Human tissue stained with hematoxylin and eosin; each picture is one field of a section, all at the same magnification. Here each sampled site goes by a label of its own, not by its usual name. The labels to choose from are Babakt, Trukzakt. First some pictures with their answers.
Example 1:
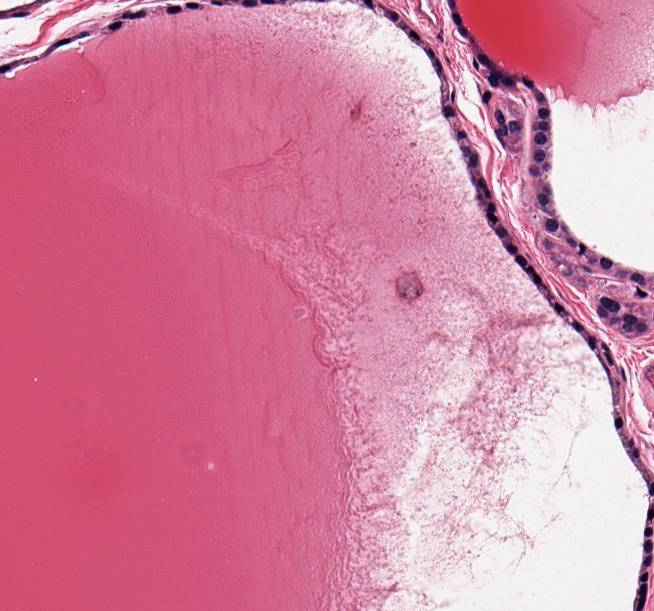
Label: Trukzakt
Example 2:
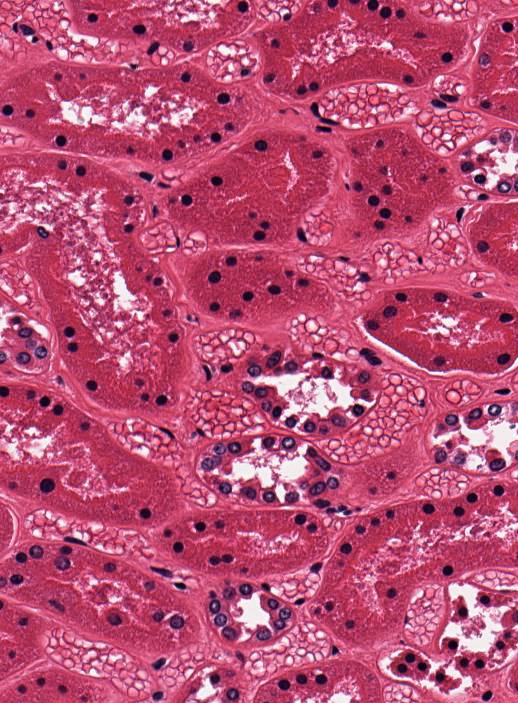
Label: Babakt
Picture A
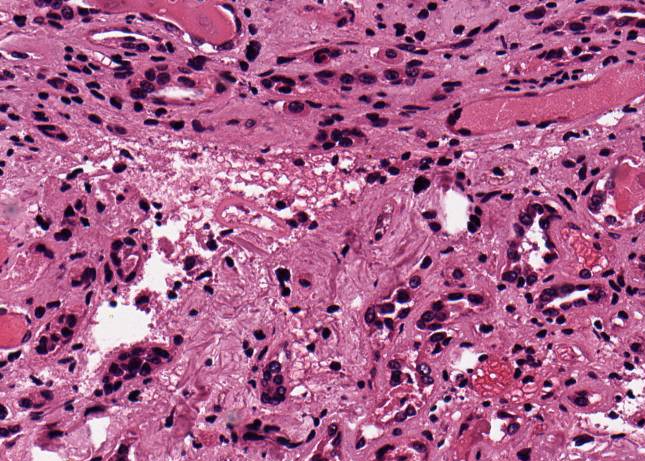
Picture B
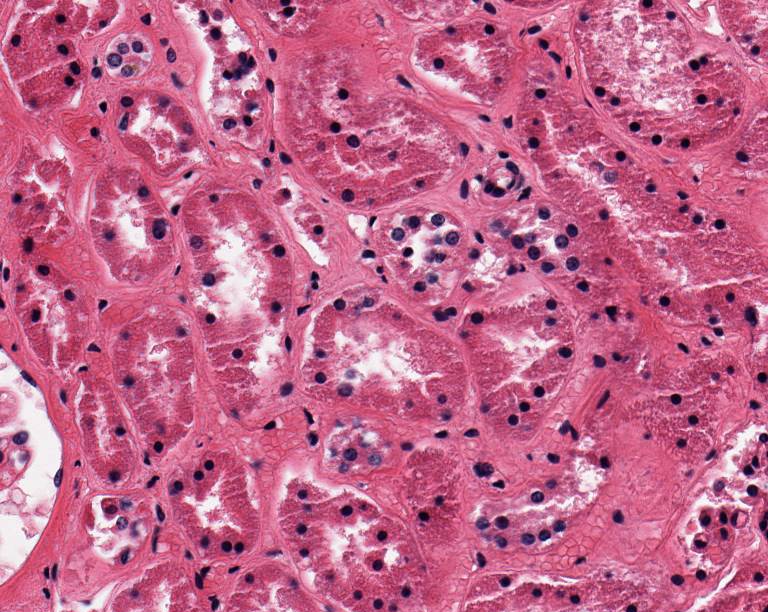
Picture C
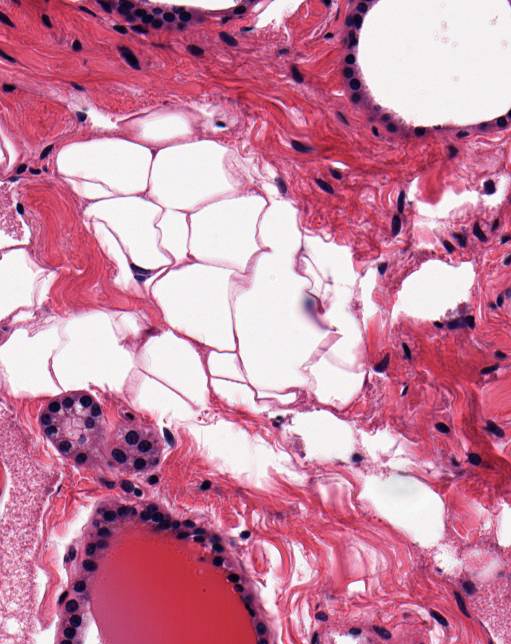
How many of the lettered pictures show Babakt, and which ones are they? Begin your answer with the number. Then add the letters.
2, namely A, B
